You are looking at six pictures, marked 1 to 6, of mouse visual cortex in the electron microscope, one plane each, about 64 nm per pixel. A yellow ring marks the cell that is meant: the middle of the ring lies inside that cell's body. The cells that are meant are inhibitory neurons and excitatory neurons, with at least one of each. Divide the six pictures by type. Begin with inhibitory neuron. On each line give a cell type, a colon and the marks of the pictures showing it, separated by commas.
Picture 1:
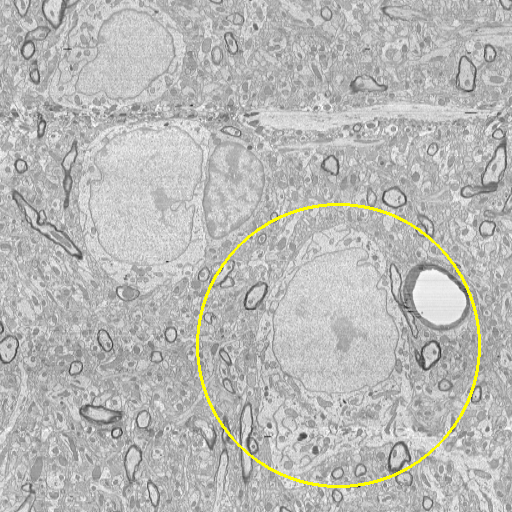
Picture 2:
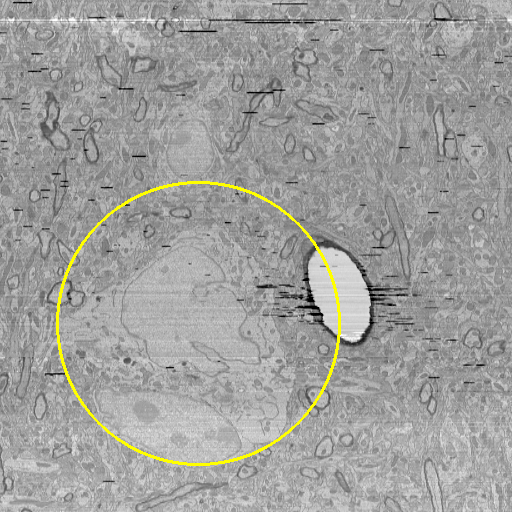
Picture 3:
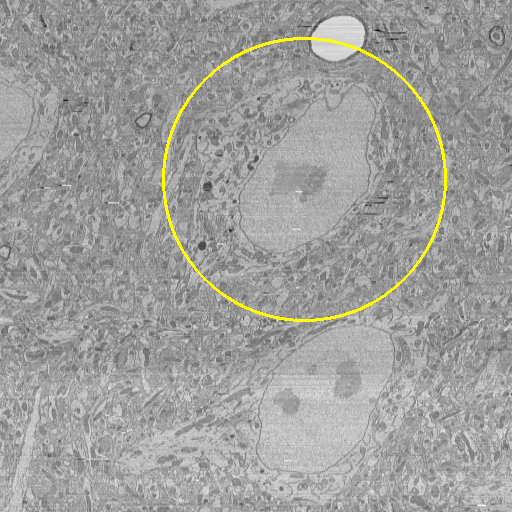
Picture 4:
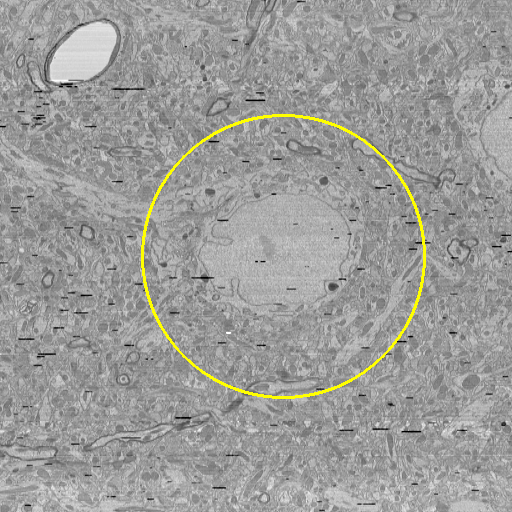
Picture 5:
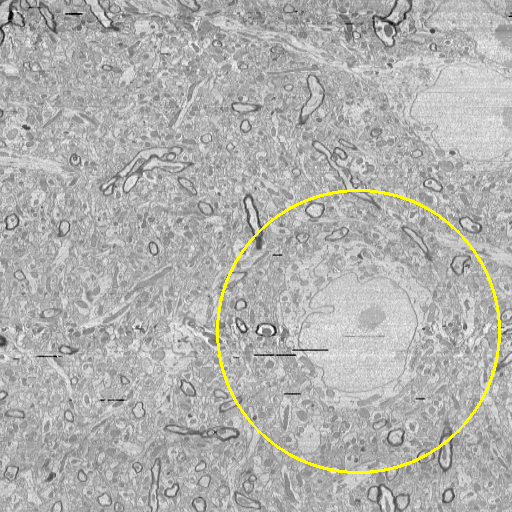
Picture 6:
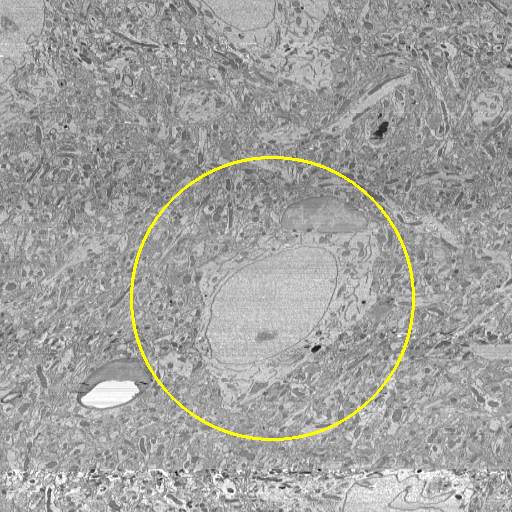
inhibitory neuron: 1, 3, 4
excitatory neuron: 2, 5, 6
